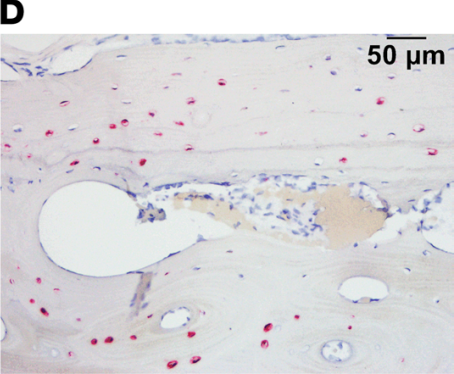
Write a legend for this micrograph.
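Compact bone with pale, concentrically layered matrix surrounds a large canal containing loose cellular tissue and tan material, with smaller canals nearby. Many small cells lie singly in lacunae across the matrix, and a large share of them carry red stain in their small oval bodies. The red cells are spread through the depth of the bone rather than gathered at the canal edges. Lining and soft-tissue cells show only the pale purple counterstain. These embedded cells are osteocytes of cortical bone.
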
